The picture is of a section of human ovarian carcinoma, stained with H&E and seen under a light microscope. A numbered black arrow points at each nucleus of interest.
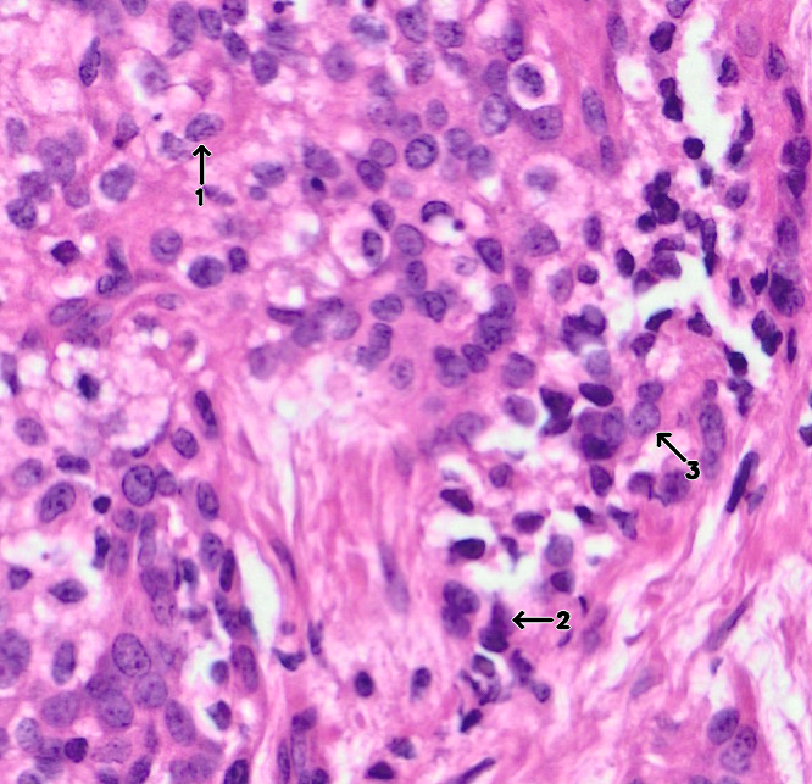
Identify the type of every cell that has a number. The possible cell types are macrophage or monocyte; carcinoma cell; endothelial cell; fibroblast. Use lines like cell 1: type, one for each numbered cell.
cell 1: macrophage or monocyte
cell 2: carcinoma cell
cell 3: carcinoma cell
